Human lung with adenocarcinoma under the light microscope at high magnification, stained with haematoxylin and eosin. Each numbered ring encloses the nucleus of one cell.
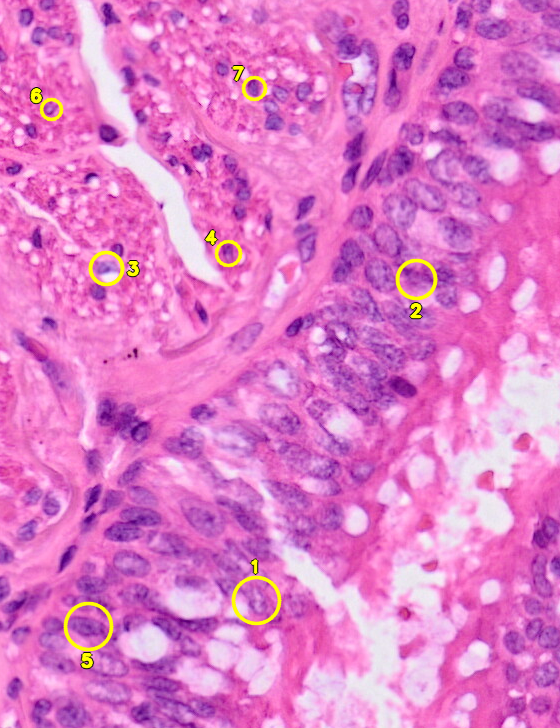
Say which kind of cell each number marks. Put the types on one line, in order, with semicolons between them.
ciliated epithelial cell; ciliated epithelial cell; smooth muscle cell or pericyte; smooth muscle cell or pericyte; ciliated epithelial cell; smooth muscle cell or pericyte; smooth muscle cell or pericyte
